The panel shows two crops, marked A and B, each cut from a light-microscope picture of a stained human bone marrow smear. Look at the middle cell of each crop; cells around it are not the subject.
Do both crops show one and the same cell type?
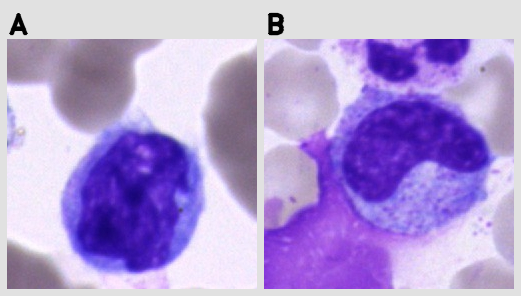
no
